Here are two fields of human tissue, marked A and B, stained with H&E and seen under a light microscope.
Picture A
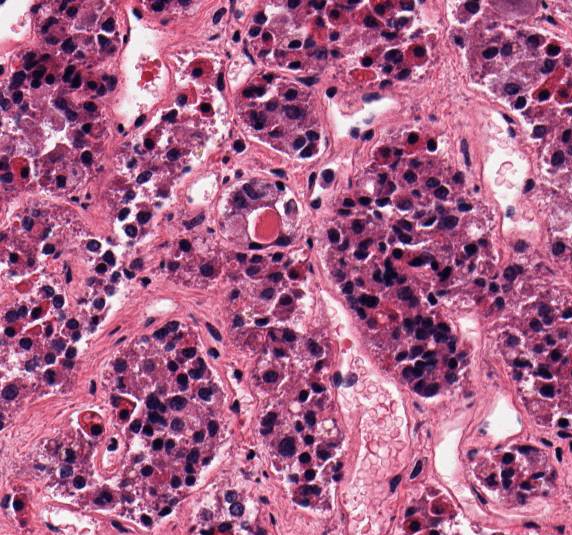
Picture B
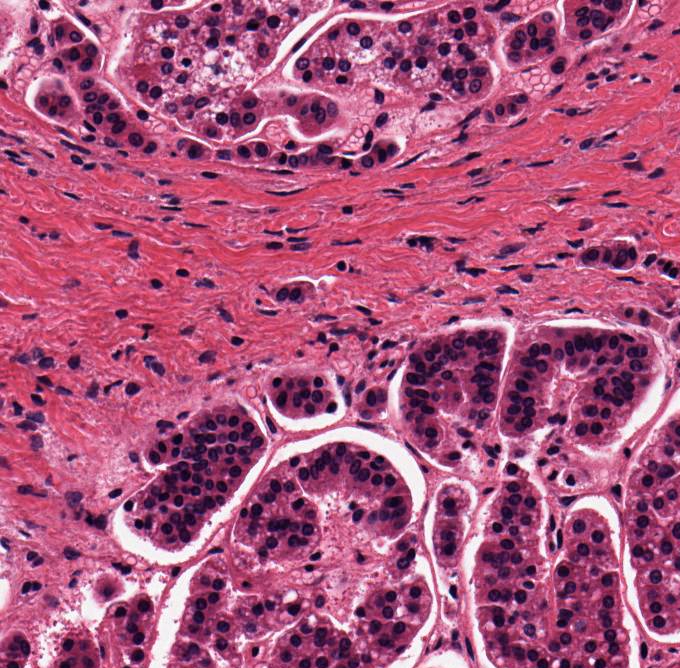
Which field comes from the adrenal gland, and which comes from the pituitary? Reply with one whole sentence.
Picture A comes from the pituitary; picture B comes from the adrenal gland.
